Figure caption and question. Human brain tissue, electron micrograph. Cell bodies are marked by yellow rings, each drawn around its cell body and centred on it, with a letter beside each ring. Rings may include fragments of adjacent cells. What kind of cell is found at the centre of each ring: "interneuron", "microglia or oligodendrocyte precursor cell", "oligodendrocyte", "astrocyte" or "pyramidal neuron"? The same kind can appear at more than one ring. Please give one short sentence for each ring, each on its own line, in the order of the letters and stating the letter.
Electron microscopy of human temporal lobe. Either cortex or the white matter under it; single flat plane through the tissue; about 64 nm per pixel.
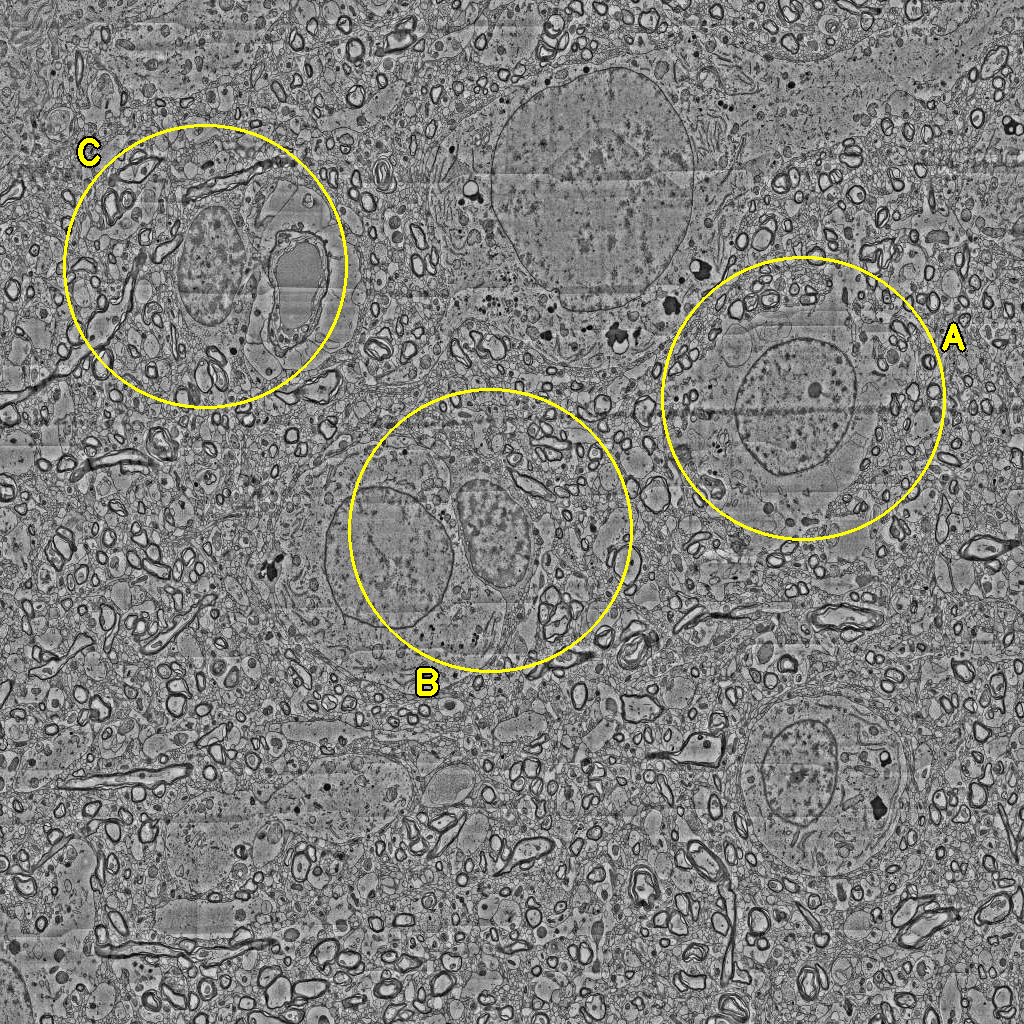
The centre of ring A falls on an astrocyte.
The centre of ring B falls on an oligodendrocyte.
The centre of ring C falls on an oligodendrocyte.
